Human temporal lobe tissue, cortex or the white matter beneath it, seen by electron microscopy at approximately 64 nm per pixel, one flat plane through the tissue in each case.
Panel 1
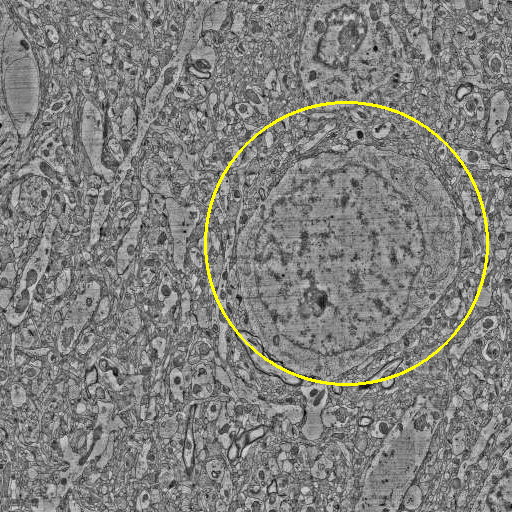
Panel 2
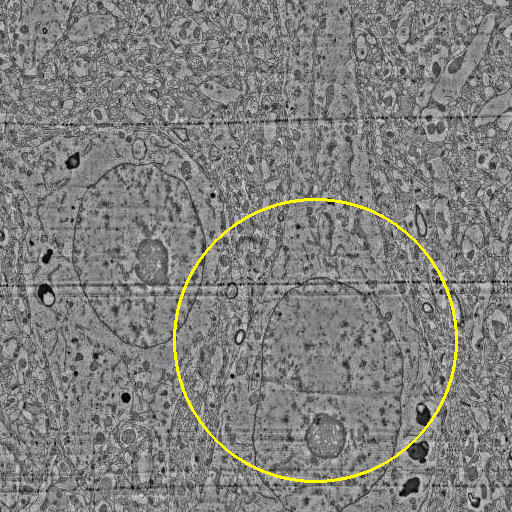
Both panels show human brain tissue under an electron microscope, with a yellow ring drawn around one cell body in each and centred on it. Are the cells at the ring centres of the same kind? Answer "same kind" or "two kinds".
two kinds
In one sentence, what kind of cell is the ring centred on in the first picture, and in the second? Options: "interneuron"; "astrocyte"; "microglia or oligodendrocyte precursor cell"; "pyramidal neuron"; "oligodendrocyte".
The cell at the centre of the second ring is a pyramidal neuron; the first ring's cell is an interneuron.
